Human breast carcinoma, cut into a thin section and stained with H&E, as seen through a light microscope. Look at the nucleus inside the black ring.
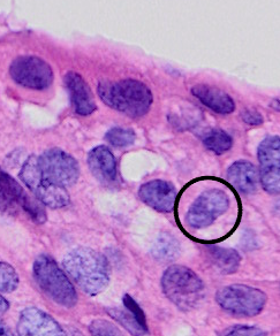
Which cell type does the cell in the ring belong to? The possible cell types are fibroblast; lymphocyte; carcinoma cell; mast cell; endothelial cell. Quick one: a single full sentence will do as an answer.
Among the cells in this section, the cell in the ring is a carcinoma cell.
